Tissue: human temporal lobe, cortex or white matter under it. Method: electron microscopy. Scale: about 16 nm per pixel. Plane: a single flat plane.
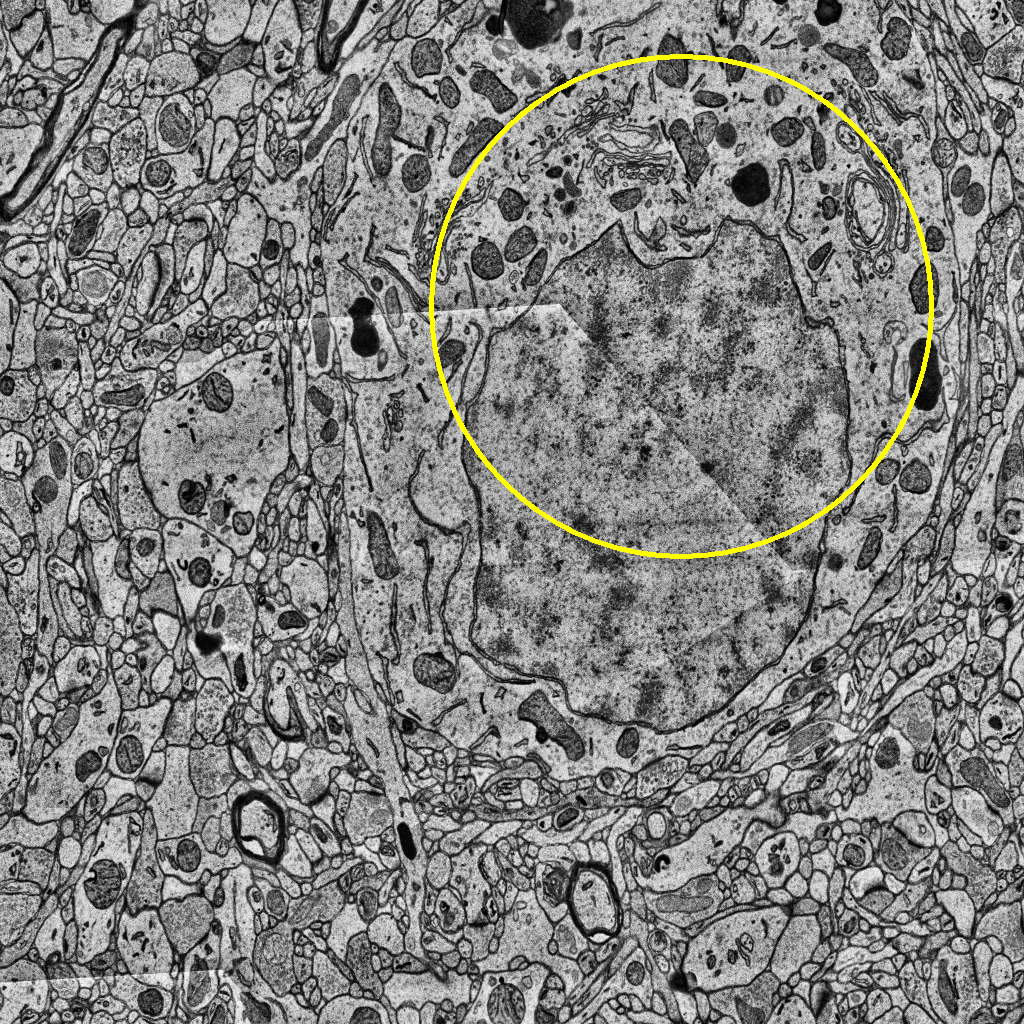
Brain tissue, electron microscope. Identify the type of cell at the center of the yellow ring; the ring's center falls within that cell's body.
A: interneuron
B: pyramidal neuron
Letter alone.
A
